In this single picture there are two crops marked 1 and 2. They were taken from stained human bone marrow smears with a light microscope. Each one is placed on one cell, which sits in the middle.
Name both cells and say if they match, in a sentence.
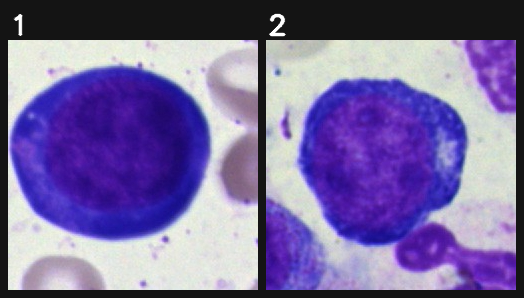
Yes, it is proerythroblasts that sit at the centre of both crops.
